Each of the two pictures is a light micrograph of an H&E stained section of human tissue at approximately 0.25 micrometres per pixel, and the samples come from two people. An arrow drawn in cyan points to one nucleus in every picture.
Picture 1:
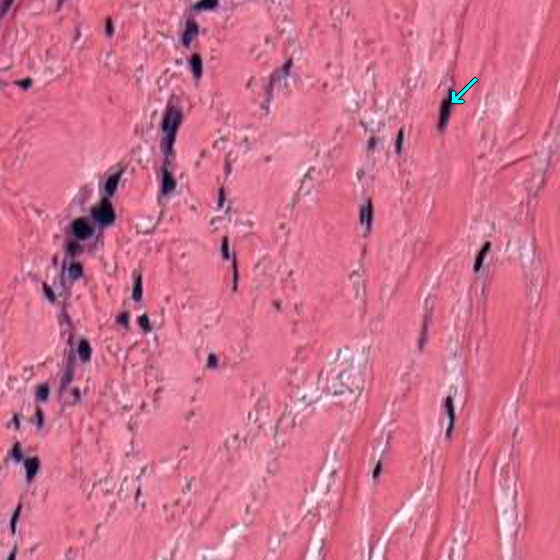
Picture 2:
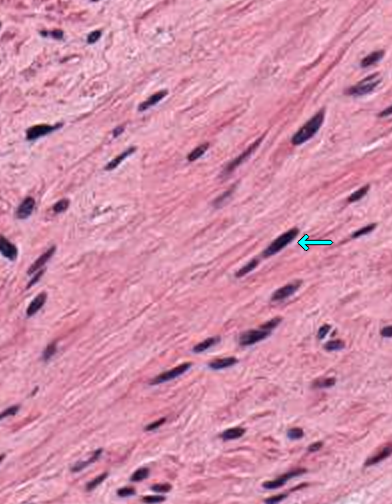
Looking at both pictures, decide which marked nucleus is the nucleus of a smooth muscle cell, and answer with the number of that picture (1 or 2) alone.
2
